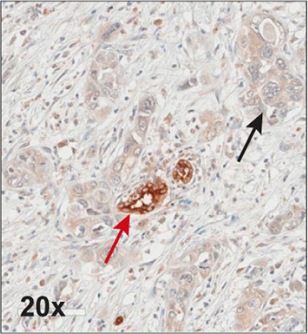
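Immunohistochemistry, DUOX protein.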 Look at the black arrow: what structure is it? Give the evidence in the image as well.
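The arrow points at an irregular cluster of epithelial cells with enlarged nuclei. The cluster lies within fibrous stroma. Its cytoplasm is only faintly brown.
Hence: atypical, invasive ducts.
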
